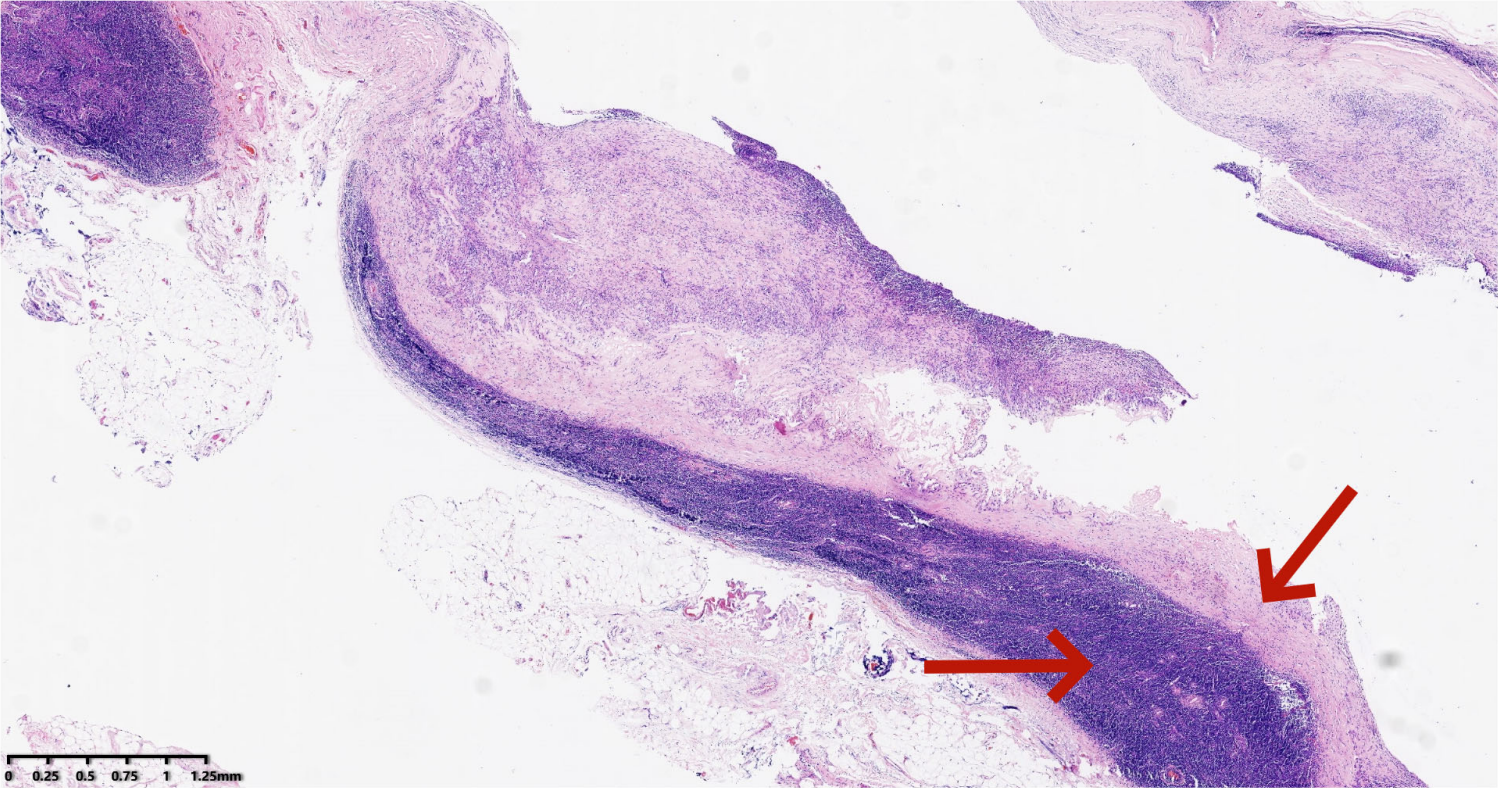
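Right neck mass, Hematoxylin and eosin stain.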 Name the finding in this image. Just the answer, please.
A: Branchial cleft cyst.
